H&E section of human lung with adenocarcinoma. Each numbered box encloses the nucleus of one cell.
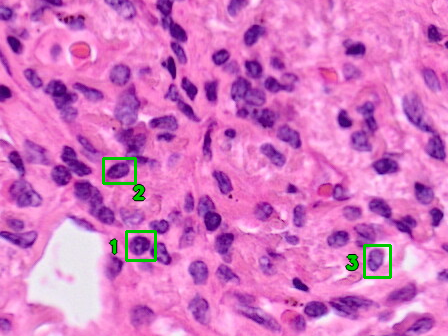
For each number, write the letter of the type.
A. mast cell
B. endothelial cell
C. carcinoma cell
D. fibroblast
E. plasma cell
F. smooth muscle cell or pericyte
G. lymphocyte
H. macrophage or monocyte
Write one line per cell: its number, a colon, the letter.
1: G
2: E
3: G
